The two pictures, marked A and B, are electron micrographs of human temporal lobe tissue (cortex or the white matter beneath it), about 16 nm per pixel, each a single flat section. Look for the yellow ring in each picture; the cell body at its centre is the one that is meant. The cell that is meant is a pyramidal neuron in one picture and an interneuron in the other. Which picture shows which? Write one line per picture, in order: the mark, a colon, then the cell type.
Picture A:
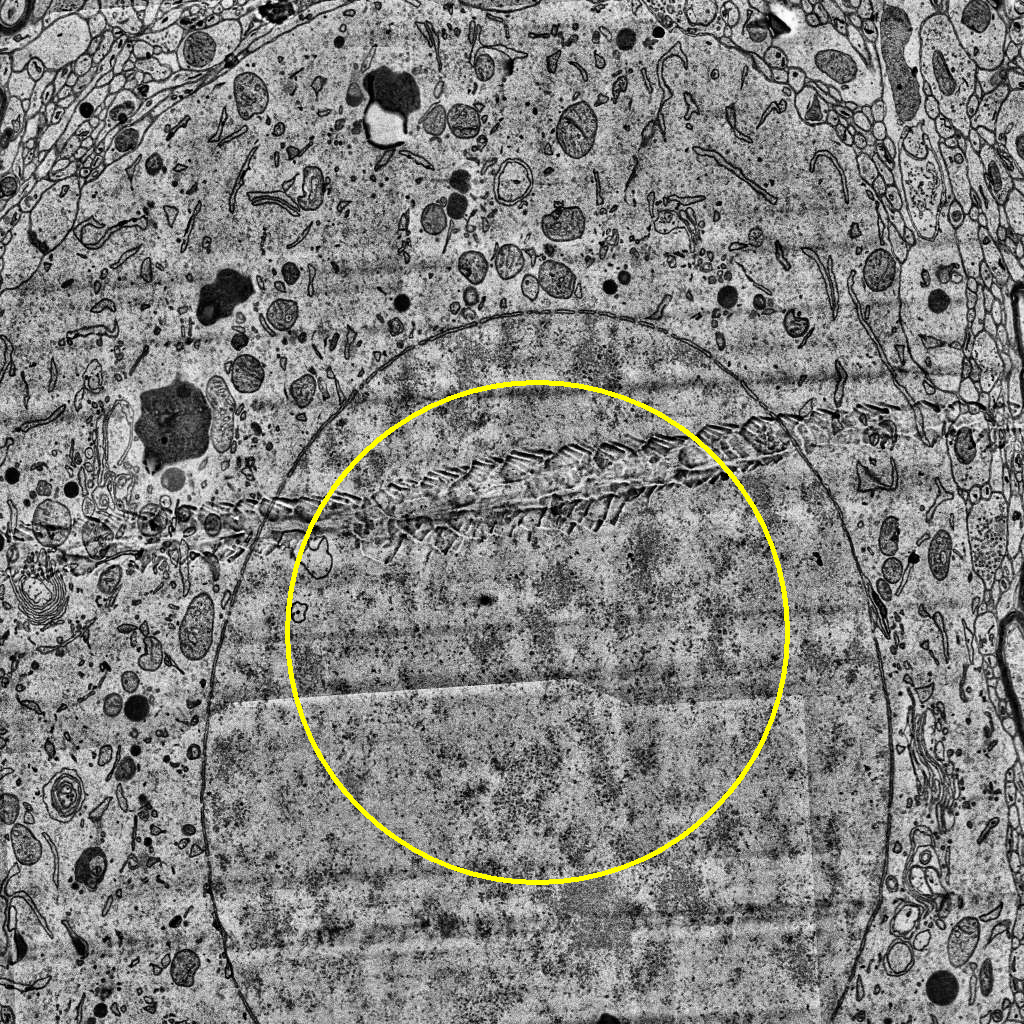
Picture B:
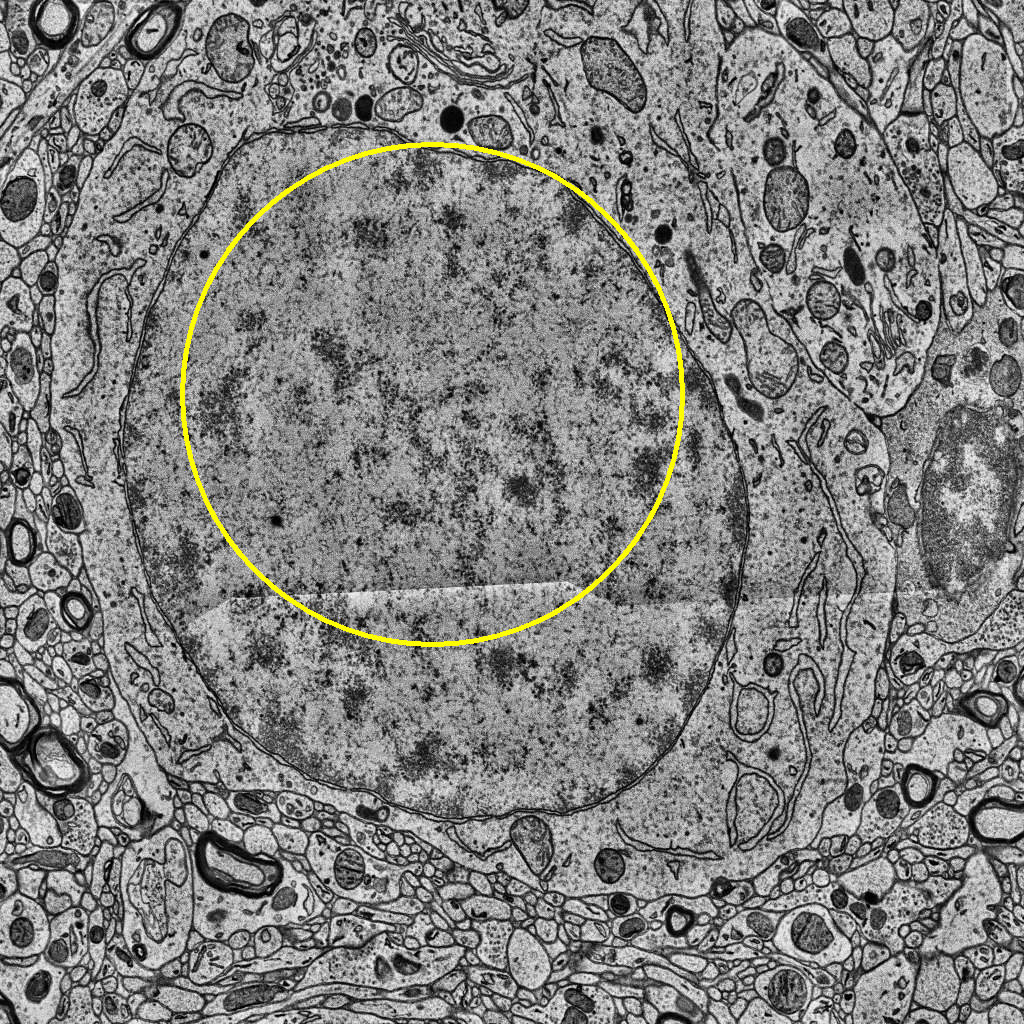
A: pyramidal neuron
B: interneuron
